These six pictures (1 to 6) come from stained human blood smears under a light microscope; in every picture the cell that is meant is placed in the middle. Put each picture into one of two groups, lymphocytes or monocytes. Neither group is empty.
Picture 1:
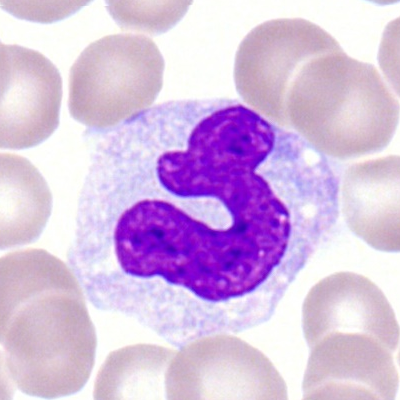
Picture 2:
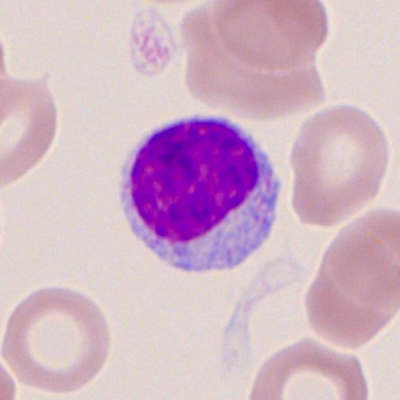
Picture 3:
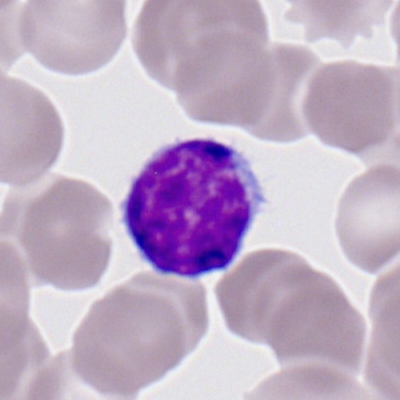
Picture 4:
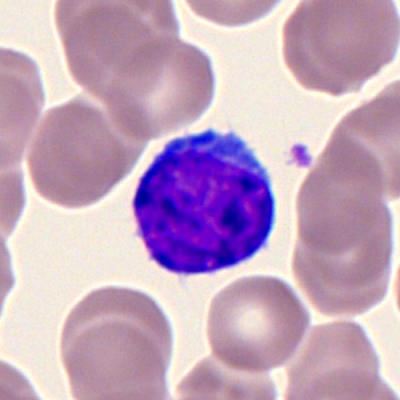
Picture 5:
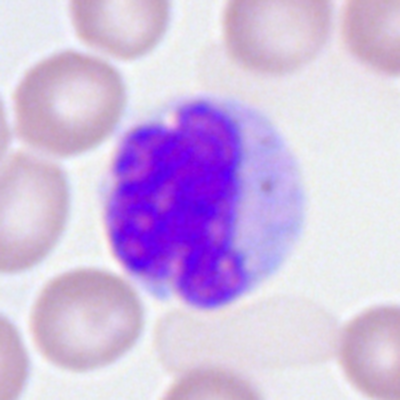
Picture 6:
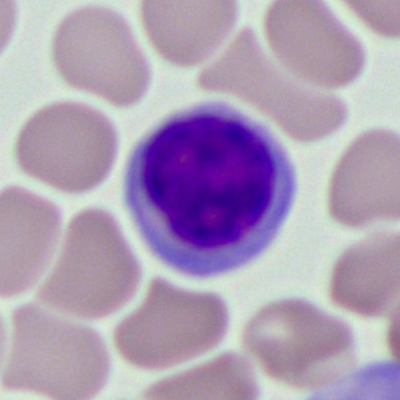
1: monocyte
2: lymphocyte
3: lymphocyte
4: lymphocyte
5: monocyte
6: lymphocyte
